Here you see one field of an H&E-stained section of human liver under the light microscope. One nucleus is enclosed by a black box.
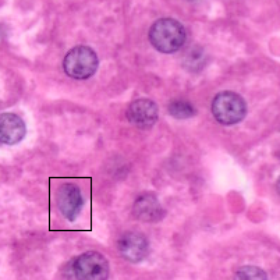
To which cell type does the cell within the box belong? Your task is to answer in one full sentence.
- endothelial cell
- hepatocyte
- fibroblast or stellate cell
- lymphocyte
Within the stained tissue, the cell within the box is an endothelial cell.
